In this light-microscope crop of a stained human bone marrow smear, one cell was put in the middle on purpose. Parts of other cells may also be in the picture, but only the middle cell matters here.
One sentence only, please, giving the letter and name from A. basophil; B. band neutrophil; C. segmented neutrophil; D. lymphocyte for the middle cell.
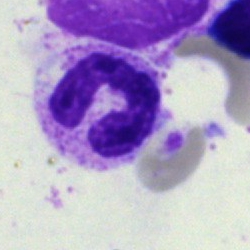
In this crop the middle cell is a segmented neutrophil, so option C is the correct answer.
